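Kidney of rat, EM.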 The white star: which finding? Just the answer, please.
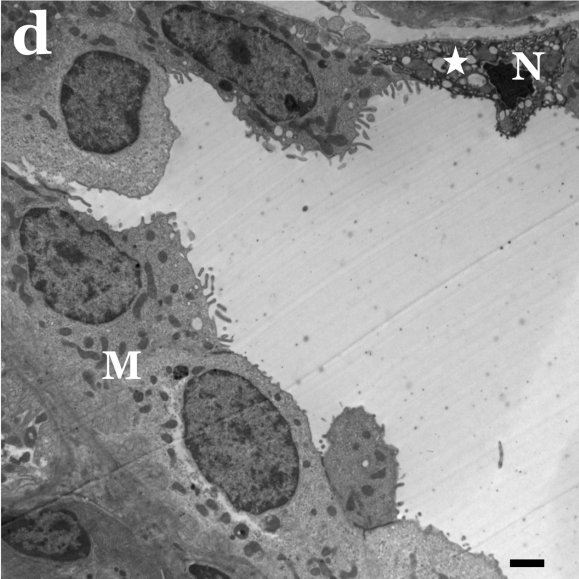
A: Vacuolated cytoplasm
